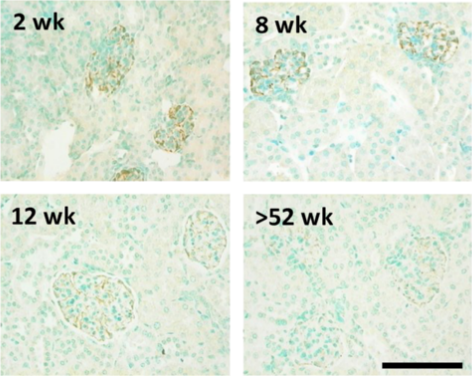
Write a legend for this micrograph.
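Kidney cortex in four fields, with round glomeruli lying among tubules lined by cuboidal cells with green nuclei. In two of the fields the glomeruli carry distinct granular brown stain, while in the other two the brown is faint or hardly seen, and the tubules stay largely unstained throughout.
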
